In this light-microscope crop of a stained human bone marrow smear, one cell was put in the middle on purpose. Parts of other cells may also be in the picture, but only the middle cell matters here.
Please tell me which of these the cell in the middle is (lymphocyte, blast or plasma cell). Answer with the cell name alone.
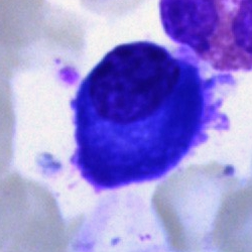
plasma cell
